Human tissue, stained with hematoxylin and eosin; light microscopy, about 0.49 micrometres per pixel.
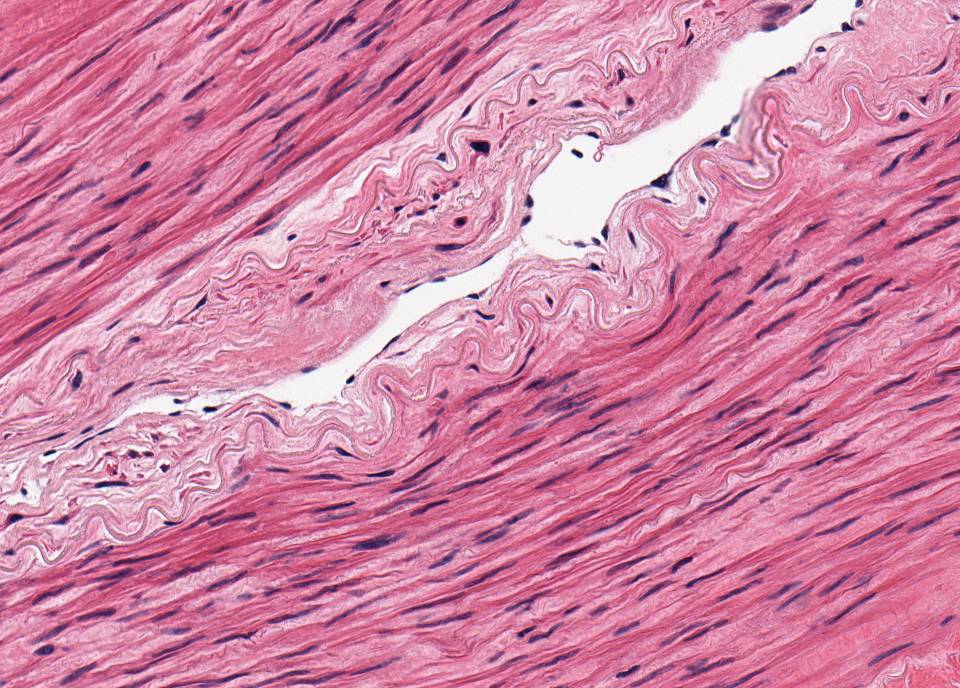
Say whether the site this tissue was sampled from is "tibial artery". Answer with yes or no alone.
yes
